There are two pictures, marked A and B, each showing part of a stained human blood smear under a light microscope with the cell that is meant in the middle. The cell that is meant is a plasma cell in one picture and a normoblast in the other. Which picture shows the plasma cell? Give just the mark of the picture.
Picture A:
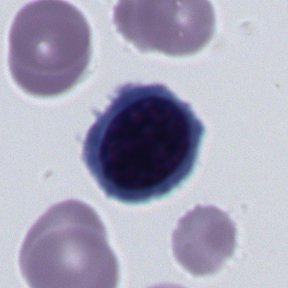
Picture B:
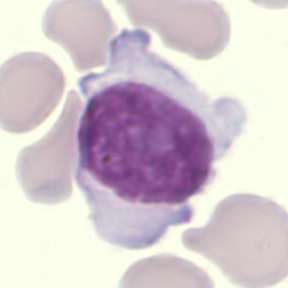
B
